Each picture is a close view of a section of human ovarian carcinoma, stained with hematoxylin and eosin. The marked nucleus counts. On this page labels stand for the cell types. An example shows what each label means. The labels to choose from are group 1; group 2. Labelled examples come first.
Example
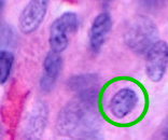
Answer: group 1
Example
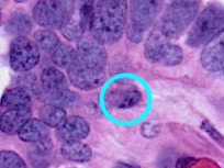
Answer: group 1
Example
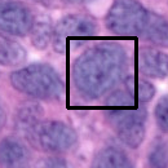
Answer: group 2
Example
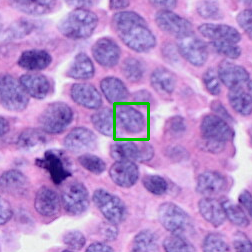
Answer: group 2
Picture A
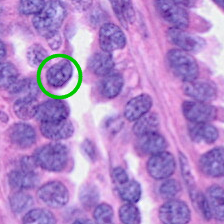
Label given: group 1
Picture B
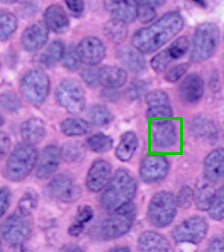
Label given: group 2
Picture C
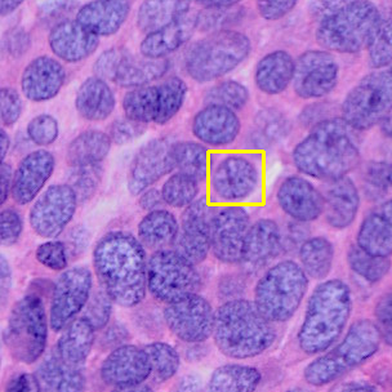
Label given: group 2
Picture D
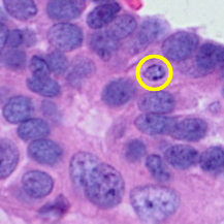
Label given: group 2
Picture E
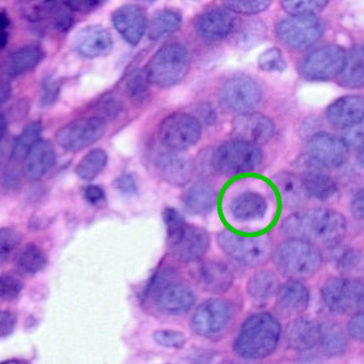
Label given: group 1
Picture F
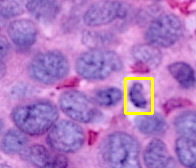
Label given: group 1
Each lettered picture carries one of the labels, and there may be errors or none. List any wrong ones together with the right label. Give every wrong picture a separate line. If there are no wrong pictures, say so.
A is labelled group 1; correct label: group 2
D is labelled group 2; correct label: group 1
